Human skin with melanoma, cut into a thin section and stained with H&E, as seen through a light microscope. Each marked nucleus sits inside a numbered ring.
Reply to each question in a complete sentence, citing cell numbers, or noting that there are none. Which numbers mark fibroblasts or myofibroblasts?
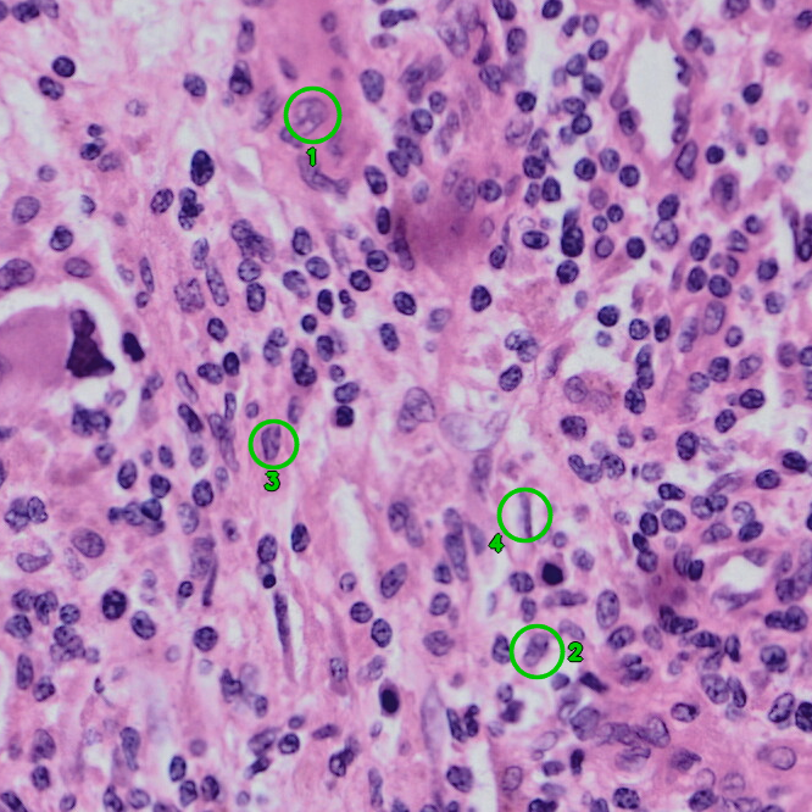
As for the numbered cells, only cell 4 is a fibroblast or myofibroblast.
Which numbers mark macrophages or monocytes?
In this section, the cells numbered 2 and 3 are macrophages or monocytes.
